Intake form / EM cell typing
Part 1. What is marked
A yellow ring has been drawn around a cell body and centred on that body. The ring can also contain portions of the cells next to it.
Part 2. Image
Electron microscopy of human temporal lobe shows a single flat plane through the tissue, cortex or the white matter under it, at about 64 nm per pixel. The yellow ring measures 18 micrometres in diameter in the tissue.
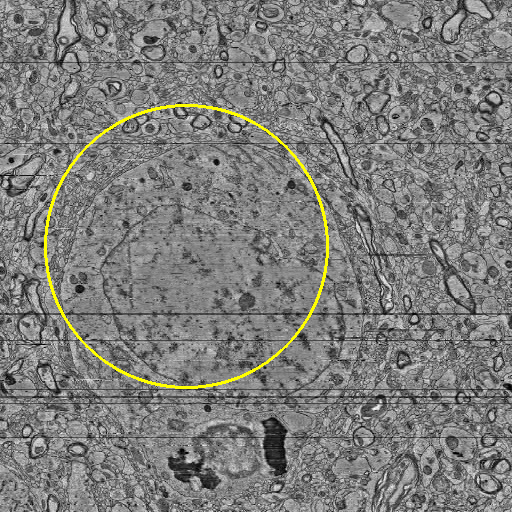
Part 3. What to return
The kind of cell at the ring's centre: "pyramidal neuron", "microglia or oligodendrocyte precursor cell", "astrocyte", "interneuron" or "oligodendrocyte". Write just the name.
pyramidal neuron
